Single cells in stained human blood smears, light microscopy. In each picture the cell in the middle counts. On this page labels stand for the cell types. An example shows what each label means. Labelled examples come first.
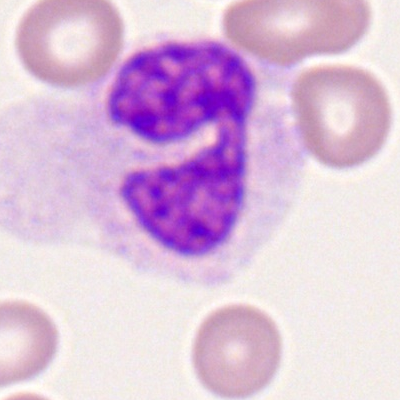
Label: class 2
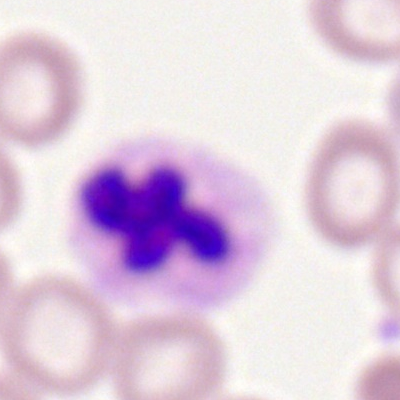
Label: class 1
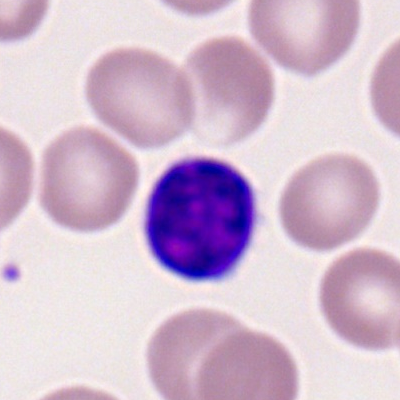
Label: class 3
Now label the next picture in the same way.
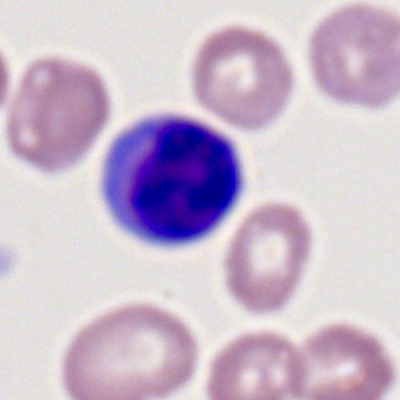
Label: class 3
